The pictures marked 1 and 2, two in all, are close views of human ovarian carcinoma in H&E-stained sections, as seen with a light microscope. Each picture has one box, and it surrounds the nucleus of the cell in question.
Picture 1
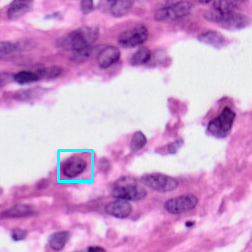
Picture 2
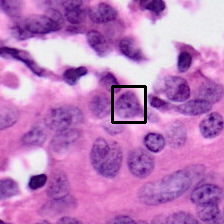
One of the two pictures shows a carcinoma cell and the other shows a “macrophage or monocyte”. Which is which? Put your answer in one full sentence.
The cell in picture 1 is a “macrophage or monocyte”, and the one in picture 2 is a carcinoma cell.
